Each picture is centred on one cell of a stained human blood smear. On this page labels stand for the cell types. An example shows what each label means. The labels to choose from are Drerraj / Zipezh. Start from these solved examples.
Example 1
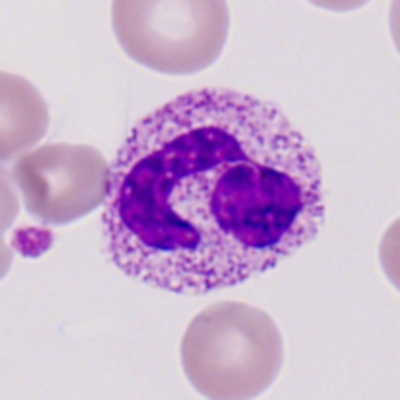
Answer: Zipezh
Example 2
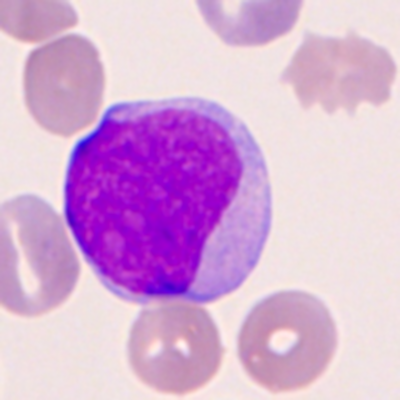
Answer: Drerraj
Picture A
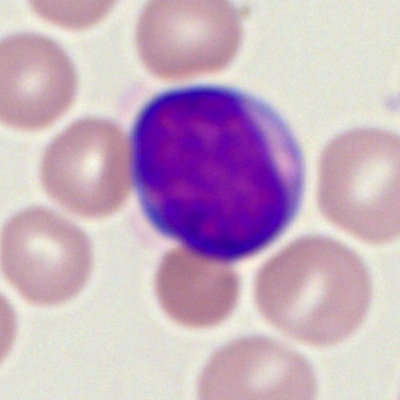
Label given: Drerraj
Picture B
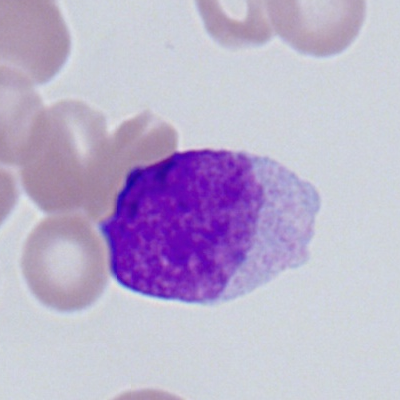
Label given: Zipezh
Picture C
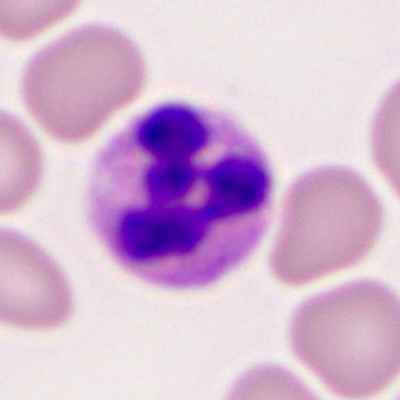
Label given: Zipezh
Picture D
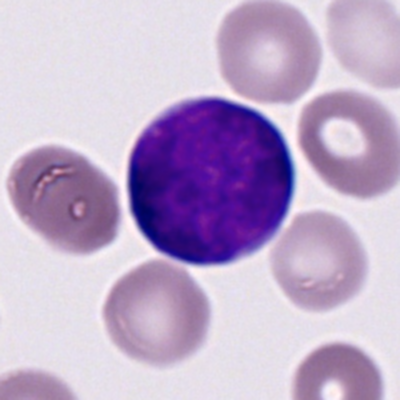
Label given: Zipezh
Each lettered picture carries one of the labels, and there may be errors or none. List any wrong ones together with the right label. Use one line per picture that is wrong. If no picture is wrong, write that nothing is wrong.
B: change Zipezh to Drerraj
D: change Zipezh to Drerraj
